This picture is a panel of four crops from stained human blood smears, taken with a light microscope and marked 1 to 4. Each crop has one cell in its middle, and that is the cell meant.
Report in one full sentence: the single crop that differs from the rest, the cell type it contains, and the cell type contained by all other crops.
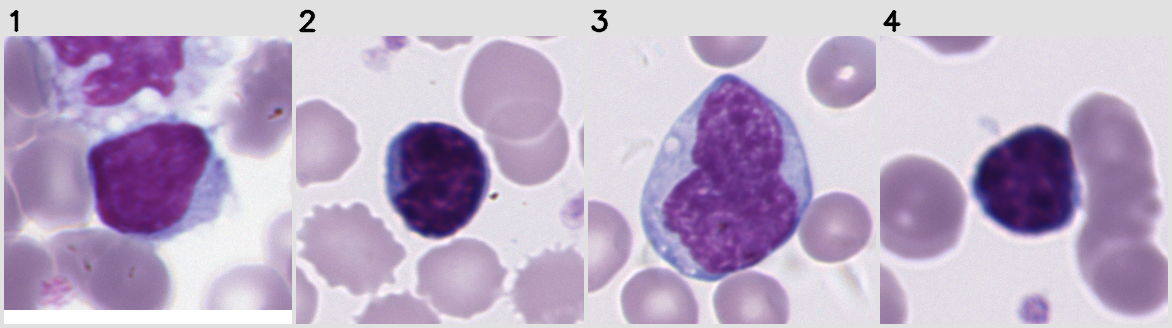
All the crops show typical lymphocytes, barring crop 3, which is a myeloblast.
